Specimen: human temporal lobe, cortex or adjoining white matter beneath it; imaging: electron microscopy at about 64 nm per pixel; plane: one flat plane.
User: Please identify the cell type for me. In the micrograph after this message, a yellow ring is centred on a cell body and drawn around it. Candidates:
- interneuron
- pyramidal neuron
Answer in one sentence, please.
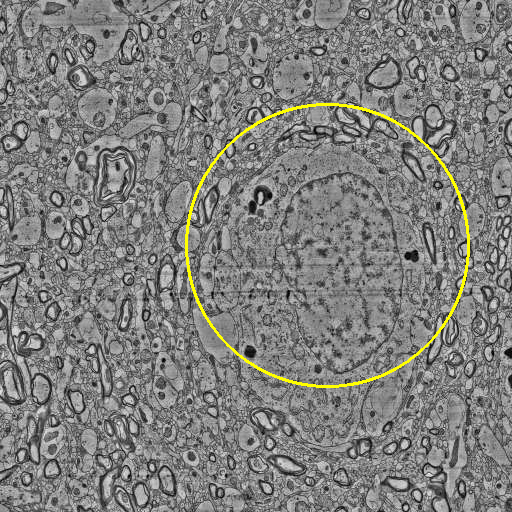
The ring is drawn around the cell body of an interneuron.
